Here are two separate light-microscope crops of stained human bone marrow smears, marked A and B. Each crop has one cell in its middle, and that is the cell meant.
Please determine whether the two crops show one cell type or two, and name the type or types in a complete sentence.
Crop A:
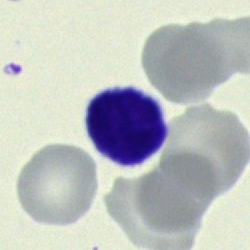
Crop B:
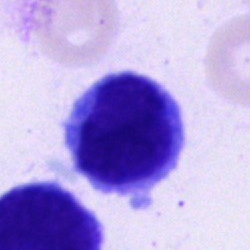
No, crop A represents a lymphocyte, and crop B represents a monocyte.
